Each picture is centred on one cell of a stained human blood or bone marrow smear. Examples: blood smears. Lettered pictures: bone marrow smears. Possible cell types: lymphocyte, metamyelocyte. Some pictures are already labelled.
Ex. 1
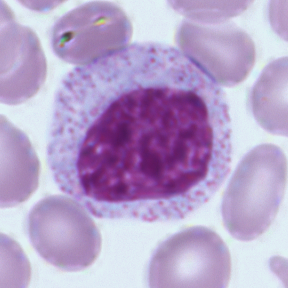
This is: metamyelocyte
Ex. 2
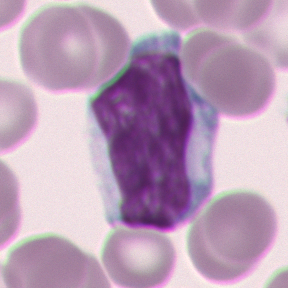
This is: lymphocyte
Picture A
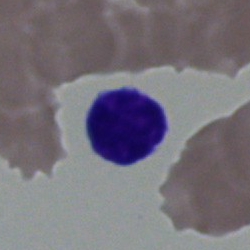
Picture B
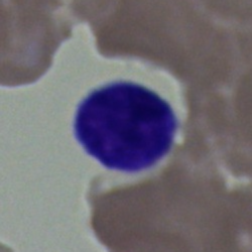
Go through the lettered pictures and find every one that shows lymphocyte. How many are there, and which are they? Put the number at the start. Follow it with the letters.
2: A, B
